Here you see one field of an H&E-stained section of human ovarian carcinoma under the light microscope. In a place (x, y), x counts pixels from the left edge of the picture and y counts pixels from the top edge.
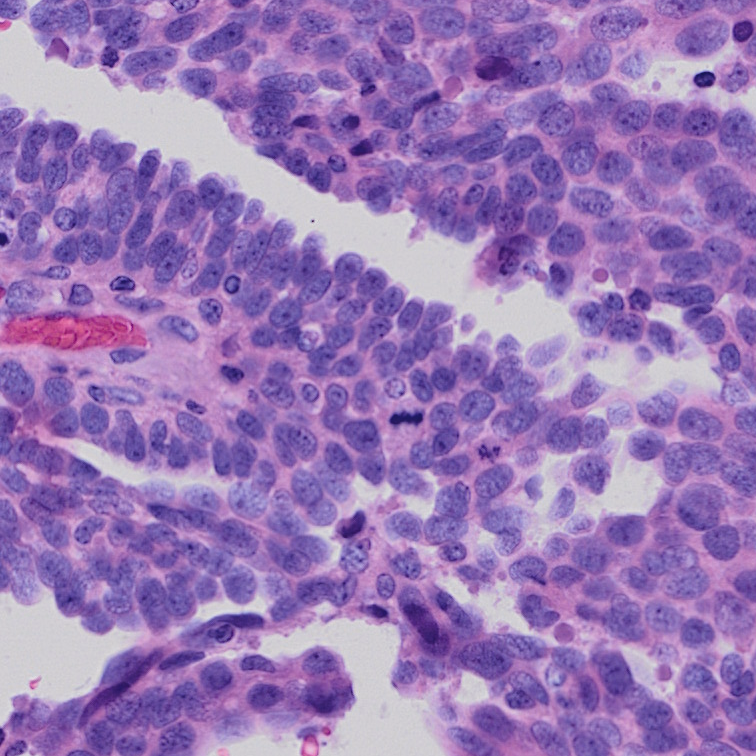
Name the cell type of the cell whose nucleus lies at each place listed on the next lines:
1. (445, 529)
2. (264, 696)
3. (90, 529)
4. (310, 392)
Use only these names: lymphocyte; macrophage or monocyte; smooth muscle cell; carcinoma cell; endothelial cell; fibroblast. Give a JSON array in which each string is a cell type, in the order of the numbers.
["carcinoma cell", "carcinoma cell", "macrophage or monocyte", "macrophage or monocyte"]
